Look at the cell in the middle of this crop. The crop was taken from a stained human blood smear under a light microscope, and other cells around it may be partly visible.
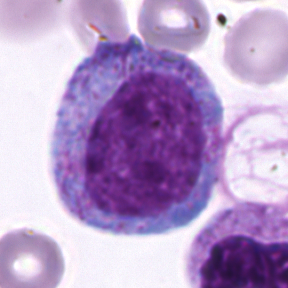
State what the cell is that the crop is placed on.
promyelocyte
